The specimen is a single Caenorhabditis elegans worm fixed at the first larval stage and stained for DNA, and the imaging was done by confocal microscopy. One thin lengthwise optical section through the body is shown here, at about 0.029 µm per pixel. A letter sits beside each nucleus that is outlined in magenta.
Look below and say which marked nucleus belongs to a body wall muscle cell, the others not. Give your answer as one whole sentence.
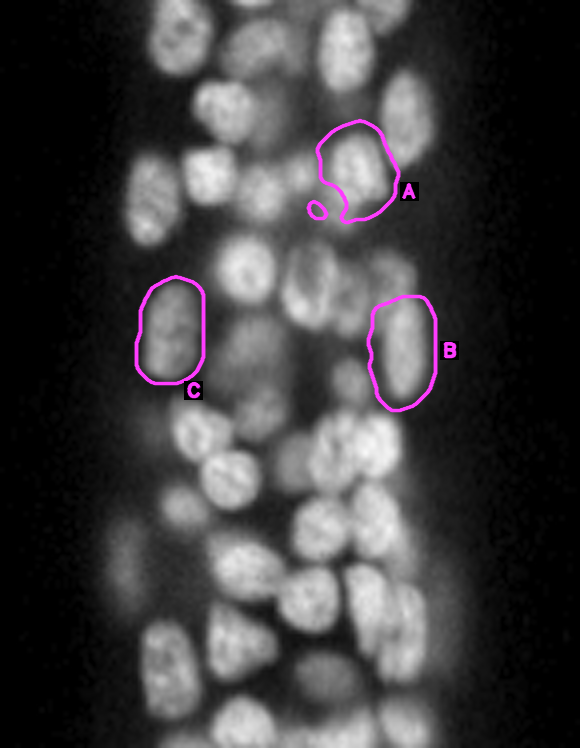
C is the nucleus of a body wall muscle cell.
